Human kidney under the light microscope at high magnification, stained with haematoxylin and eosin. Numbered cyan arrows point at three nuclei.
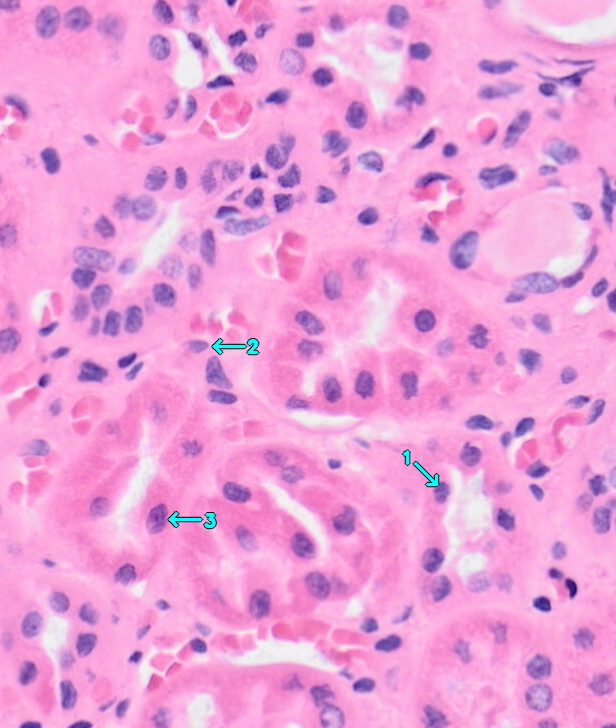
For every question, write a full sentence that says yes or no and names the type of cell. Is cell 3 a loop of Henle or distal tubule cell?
No, cell 3 is classified as a proximal tubule cell rather than a loop of Henle or distal tubule cell.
